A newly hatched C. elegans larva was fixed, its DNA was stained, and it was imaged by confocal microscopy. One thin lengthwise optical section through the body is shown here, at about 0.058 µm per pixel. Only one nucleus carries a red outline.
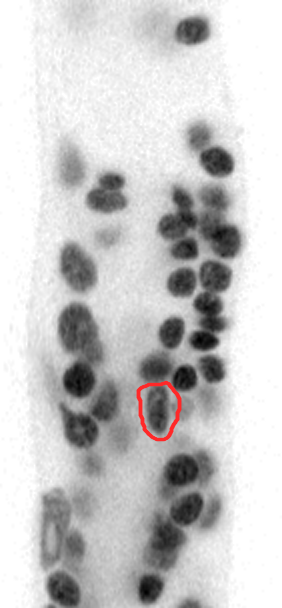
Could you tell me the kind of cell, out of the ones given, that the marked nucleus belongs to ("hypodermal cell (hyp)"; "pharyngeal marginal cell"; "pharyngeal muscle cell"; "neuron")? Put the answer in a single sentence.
The marked cell is a pharyngeal marginal cell.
